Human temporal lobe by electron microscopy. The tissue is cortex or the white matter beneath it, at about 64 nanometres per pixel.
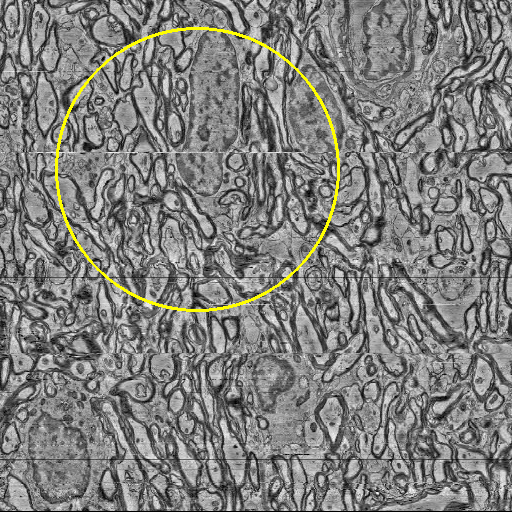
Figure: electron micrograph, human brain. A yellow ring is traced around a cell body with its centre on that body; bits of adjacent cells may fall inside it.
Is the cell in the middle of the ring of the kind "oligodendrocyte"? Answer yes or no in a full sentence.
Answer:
No, another kind applies to the cell centred within the yellow ring of the picture.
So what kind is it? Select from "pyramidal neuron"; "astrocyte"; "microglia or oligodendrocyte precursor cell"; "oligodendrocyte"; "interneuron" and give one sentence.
It is a microglial cell or oligodendrocyte precursor cell that the ring is centred on.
